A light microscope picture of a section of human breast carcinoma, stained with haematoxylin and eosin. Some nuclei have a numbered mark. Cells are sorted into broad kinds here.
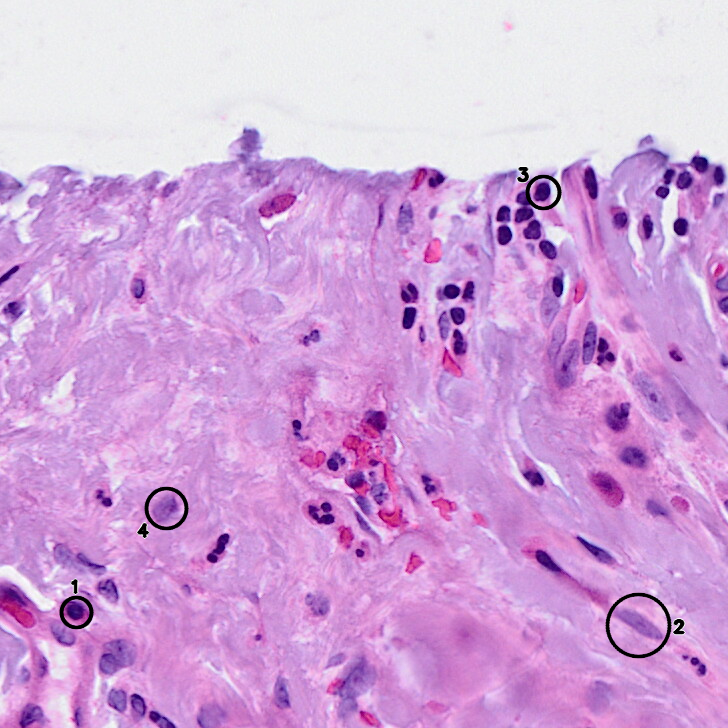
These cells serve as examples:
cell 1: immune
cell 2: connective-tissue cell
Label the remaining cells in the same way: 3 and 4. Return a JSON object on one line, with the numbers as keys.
{"3": "immune", "4": "connective-tissue cell"}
